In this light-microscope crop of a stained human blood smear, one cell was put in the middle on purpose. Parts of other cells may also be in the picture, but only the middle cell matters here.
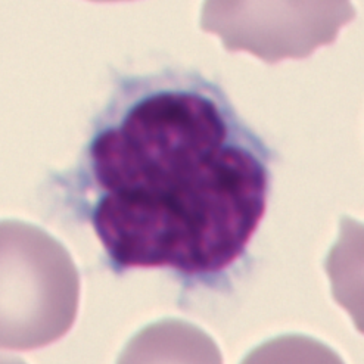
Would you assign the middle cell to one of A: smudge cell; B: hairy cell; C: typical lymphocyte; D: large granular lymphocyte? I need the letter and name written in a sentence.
Option B is correct in that the central cell is a hairy cell.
